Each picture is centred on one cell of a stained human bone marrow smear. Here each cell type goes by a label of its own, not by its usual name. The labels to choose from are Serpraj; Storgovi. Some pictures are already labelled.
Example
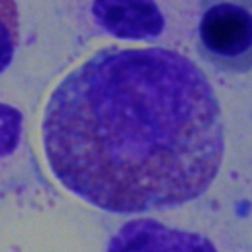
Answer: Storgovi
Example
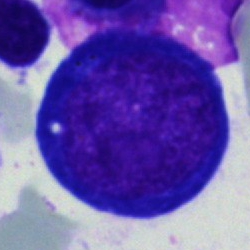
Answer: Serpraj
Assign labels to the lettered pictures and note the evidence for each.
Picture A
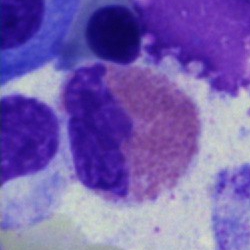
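Answer: Storgovi. The cytoplasm is plentiful and takes a pinkish-mauve tint.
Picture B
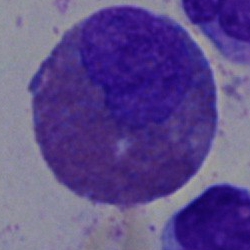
Answer: Storgovi. The cytoplasm is abundant and fills the lower part of the cell.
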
